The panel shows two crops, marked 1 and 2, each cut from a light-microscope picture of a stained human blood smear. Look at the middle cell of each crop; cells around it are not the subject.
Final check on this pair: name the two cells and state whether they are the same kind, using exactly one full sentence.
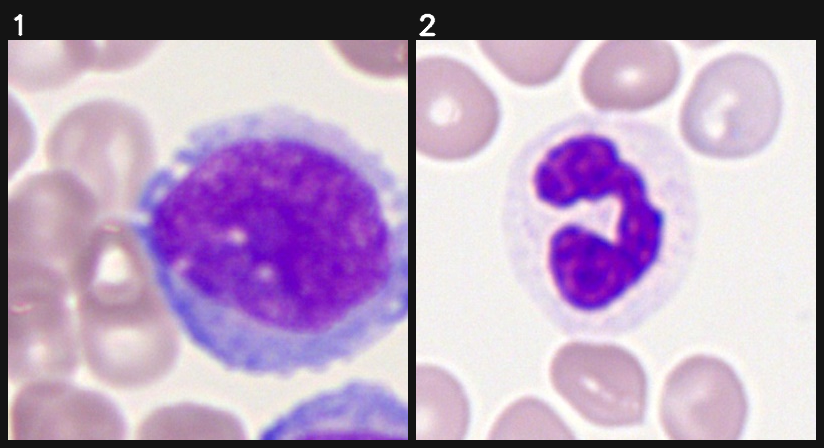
No, it is a monocyte that crop 1 shows, and a segmented neutrophil that crop 2 shows.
